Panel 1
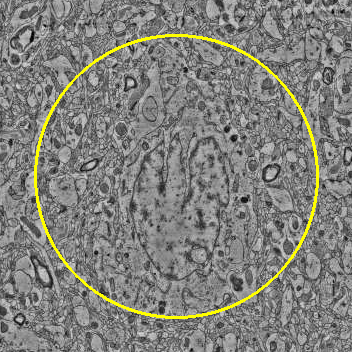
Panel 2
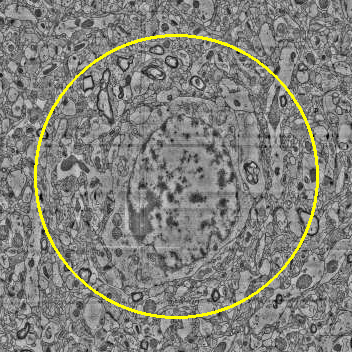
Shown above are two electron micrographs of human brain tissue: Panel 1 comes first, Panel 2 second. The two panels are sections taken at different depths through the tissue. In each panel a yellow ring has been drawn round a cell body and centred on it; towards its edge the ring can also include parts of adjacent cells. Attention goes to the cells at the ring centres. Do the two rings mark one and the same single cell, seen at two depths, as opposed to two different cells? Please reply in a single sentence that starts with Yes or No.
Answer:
No, the yellow rings are placed on two separate cells.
